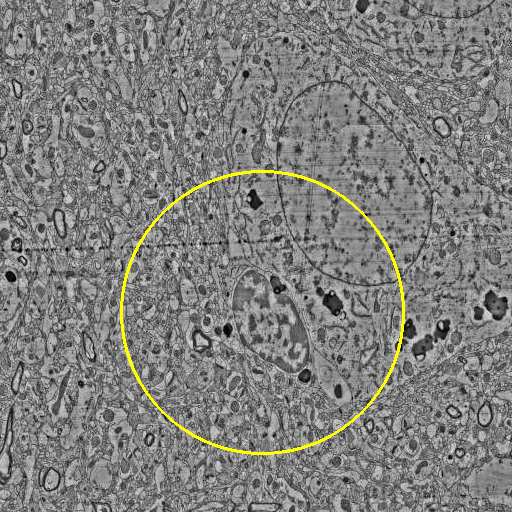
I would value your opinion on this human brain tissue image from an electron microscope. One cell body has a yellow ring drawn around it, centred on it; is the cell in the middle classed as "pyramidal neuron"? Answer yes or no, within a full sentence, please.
No, I would class the cell in the middle of the ring as a different kind.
